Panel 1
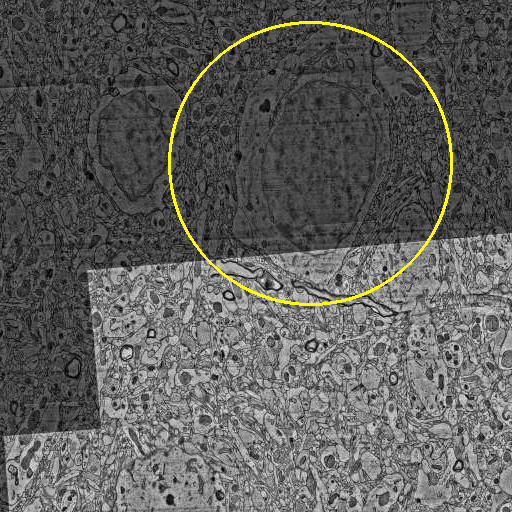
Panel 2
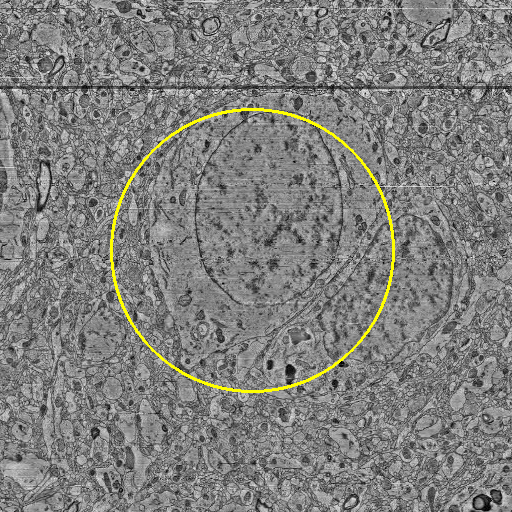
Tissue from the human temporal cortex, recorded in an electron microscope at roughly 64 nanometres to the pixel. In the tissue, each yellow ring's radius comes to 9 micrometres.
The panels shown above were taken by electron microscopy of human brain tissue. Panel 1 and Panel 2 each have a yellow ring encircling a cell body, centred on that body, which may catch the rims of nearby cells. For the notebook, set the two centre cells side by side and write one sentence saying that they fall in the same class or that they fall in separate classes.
The centred cells of Panel 1 and Panel 2 fall in separate classes.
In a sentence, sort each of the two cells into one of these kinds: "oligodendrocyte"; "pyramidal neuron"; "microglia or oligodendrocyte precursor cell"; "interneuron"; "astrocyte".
The first of the two cells is an interneuron, and the second is a pyramidal neuron.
